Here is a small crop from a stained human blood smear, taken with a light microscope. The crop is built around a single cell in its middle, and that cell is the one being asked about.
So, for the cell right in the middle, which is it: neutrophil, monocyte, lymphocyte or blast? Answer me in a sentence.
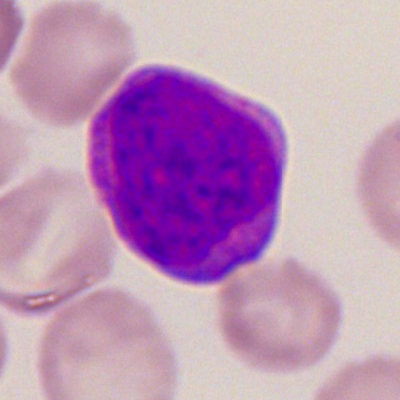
The cell under consideration, at the middle of the crop, is a blast.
